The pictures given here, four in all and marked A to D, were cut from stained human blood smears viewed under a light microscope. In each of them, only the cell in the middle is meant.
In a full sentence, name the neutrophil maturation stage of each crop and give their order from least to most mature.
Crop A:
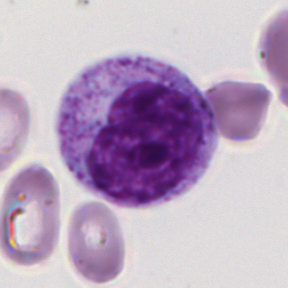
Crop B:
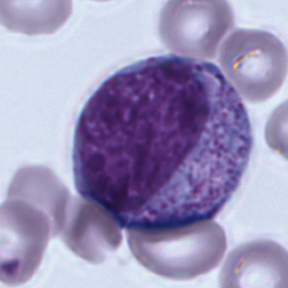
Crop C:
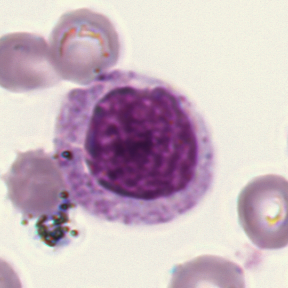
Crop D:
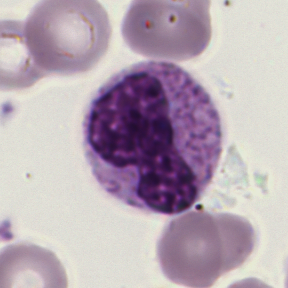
The order of maturity, lowest to highest, is crop B (a promyelocyte), crop C (a myelocyte), crop A (a metamyelocyte) and crop D (a band neutrophil).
